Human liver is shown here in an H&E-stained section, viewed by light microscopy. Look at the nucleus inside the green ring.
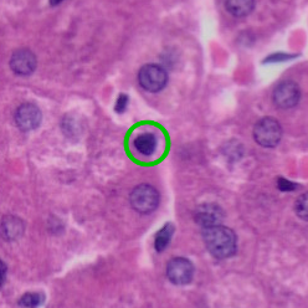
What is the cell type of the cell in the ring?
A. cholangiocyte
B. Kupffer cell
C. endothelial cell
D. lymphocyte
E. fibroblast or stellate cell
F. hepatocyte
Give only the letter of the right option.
E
